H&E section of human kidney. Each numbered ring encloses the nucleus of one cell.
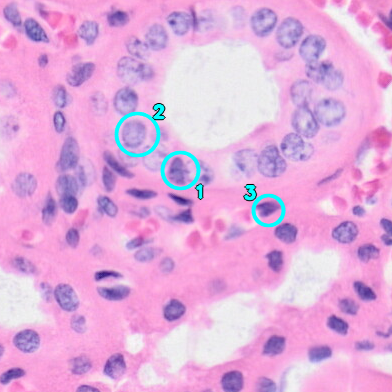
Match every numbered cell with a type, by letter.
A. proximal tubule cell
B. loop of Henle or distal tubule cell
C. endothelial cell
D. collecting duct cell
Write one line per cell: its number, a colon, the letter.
1: D
2: D
3: C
